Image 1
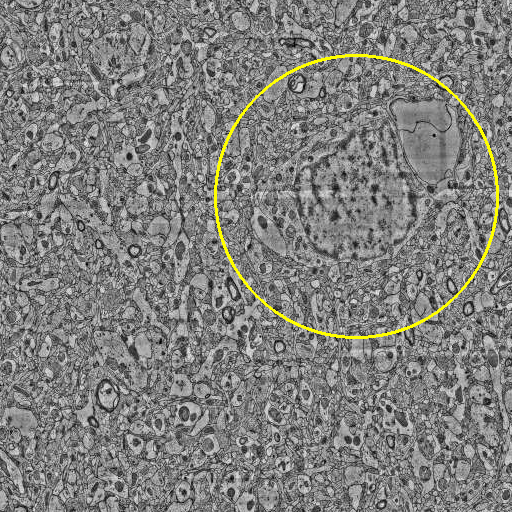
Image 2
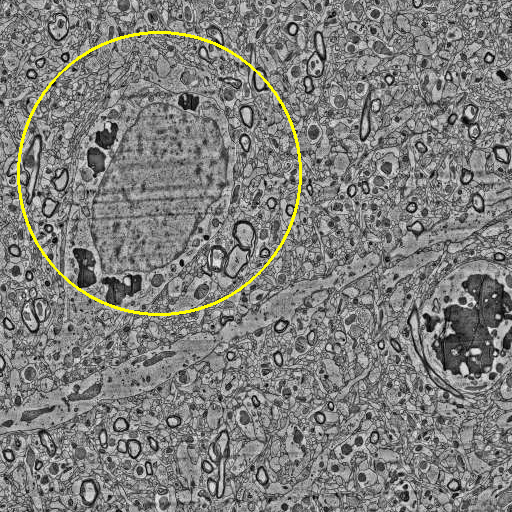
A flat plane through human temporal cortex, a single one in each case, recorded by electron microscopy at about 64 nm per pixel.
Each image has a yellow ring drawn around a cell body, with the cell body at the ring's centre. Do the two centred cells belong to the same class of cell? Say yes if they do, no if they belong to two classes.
yes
